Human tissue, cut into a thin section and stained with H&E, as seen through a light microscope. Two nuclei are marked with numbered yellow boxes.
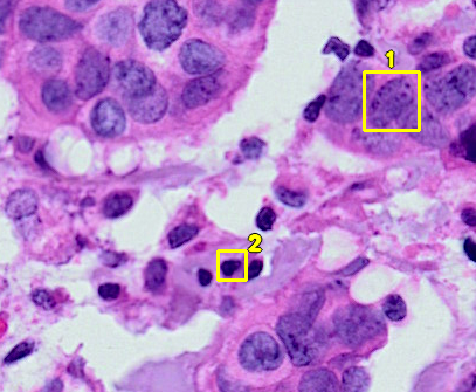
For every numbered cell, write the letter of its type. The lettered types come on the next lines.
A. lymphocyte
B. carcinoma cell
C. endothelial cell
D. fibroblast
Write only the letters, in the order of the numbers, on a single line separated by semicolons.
B; A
